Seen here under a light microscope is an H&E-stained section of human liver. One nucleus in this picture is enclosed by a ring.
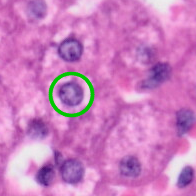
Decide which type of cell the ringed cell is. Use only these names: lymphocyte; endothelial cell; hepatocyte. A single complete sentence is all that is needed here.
In cellular terms, the ringed cell is a hepatocyte.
